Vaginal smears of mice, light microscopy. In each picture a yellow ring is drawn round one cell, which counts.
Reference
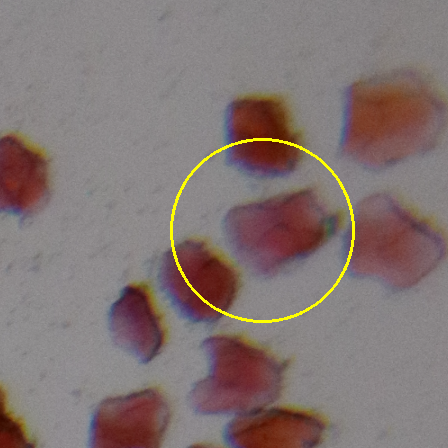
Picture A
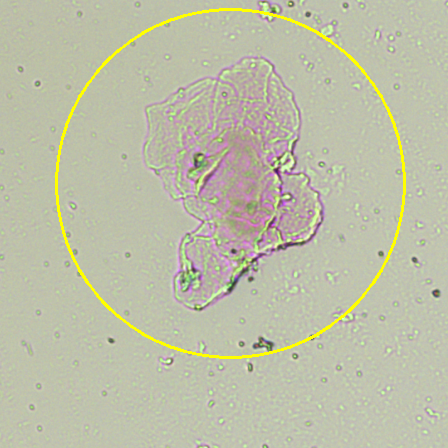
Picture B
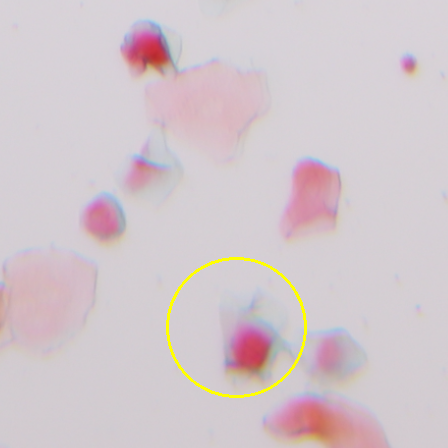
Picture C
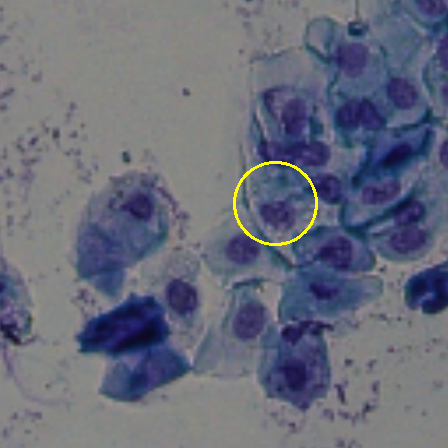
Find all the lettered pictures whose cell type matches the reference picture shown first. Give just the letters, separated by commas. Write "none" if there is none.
A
